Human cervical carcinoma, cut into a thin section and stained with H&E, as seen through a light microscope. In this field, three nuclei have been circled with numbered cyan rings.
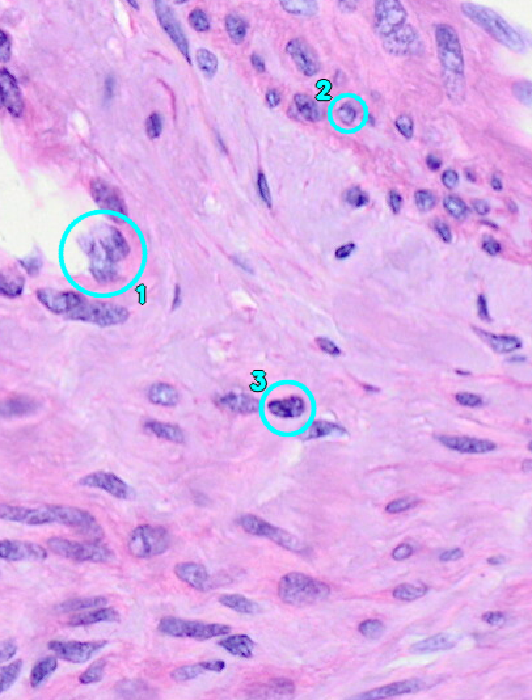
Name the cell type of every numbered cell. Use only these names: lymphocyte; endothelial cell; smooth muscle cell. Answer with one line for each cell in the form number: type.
1: endothelial cell
2: smooth muscle cell
3: lymphocyte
